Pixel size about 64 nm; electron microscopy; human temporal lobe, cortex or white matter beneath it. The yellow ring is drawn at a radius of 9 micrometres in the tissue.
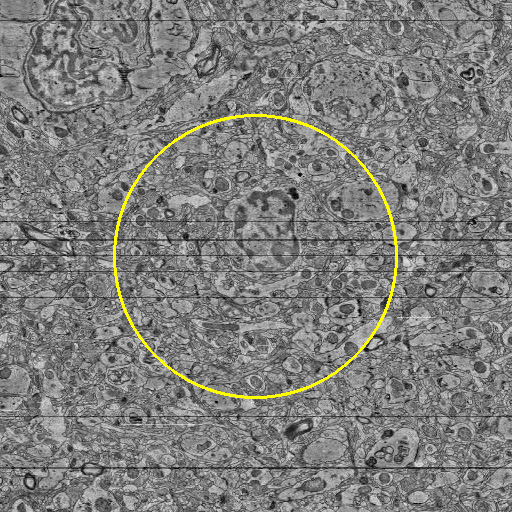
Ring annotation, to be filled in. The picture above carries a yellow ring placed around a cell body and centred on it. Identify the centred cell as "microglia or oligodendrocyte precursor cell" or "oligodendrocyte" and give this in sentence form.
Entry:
The cell in the middle of the ring is a microglial cell or oligodendrocyte precursor cell.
